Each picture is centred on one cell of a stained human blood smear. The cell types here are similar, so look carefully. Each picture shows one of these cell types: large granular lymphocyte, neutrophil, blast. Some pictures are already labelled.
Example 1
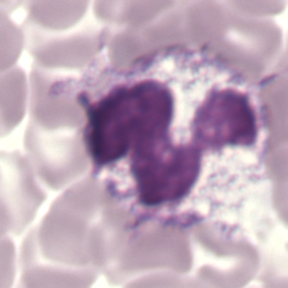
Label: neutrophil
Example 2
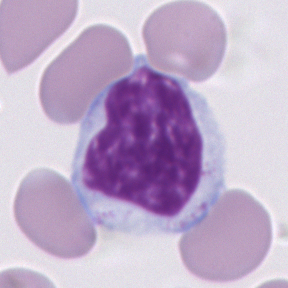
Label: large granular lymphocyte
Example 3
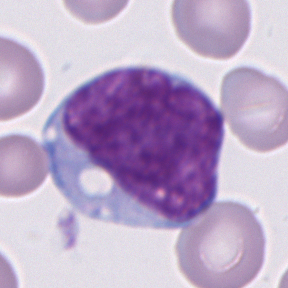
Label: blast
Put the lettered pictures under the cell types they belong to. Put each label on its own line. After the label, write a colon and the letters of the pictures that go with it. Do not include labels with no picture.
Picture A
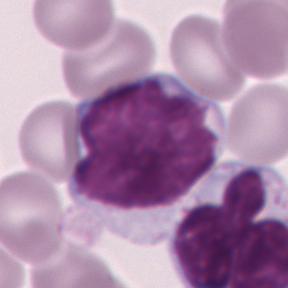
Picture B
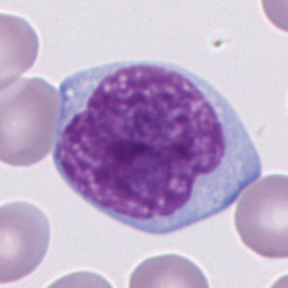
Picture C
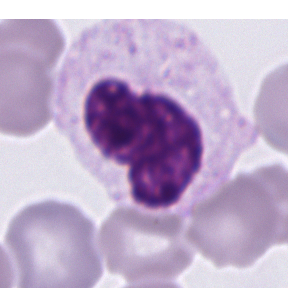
large granular lymphocyte: A
neutrophil: C
blast: B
